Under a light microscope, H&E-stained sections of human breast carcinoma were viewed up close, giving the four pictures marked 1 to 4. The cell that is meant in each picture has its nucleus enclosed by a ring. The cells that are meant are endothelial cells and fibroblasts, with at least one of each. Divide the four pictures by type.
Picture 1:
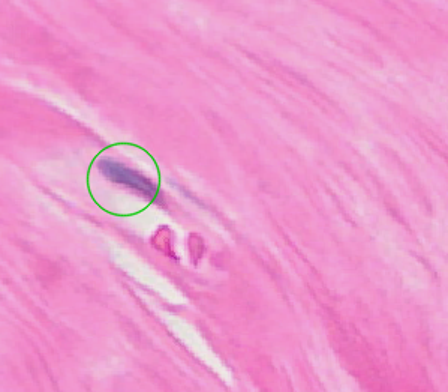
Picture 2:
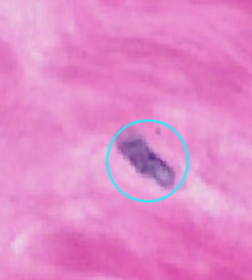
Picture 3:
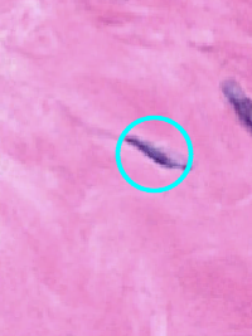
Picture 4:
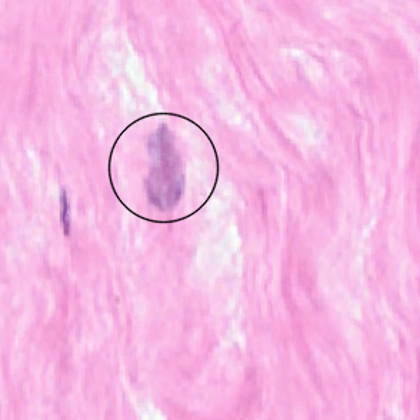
1: endothelial cell
2: fibroblast
3: fibroblast
4: fibroblast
